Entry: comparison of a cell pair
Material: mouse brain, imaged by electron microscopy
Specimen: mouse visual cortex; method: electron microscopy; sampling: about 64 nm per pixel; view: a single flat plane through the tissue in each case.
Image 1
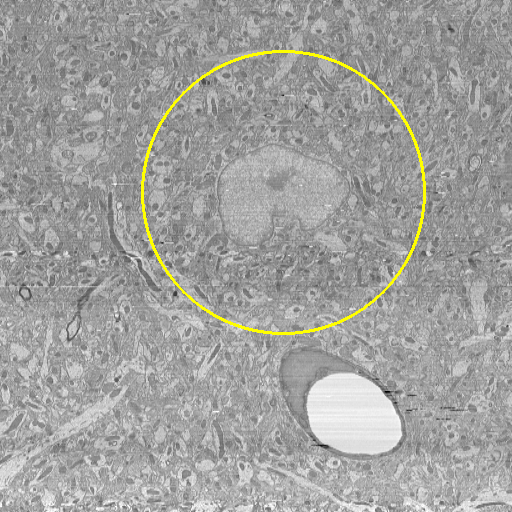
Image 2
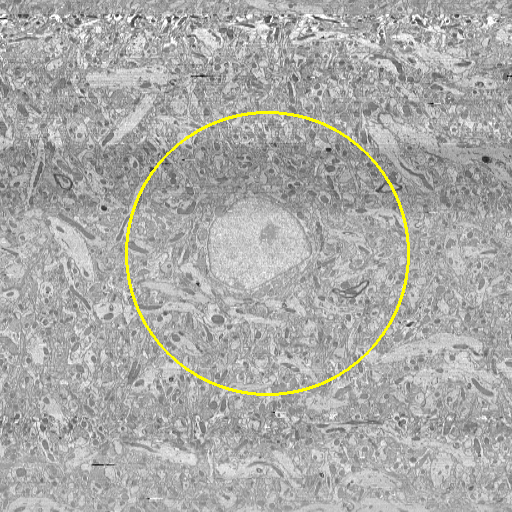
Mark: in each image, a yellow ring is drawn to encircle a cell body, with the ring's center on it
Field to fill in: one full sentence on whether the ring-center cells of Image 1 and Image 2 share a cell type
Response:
Yes, Image 1 and Image 2 each show a ring-center cell of one shared type.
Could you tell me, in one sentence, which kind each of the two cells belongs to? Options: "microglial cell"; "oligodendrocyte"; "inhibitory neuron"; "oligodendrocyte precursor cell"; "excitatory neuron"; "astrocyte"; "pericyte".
Each of the two rings surrounds an astrocyte.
